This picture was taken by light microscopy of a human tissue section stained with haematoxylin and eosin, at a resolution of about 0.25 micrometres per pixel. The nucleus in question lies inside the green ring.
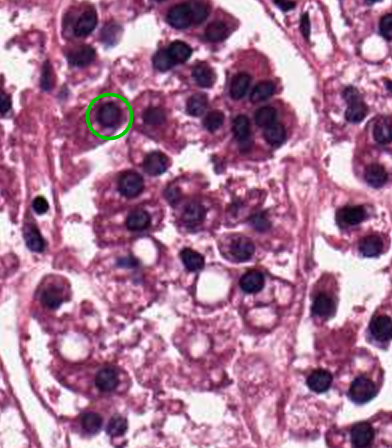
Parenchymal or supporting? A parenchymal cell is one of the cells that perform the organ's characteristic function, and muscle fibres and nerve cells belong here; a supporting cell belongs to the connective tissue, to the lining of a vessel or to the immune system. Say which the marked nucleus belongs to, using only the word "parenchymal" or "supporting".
parenchymal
